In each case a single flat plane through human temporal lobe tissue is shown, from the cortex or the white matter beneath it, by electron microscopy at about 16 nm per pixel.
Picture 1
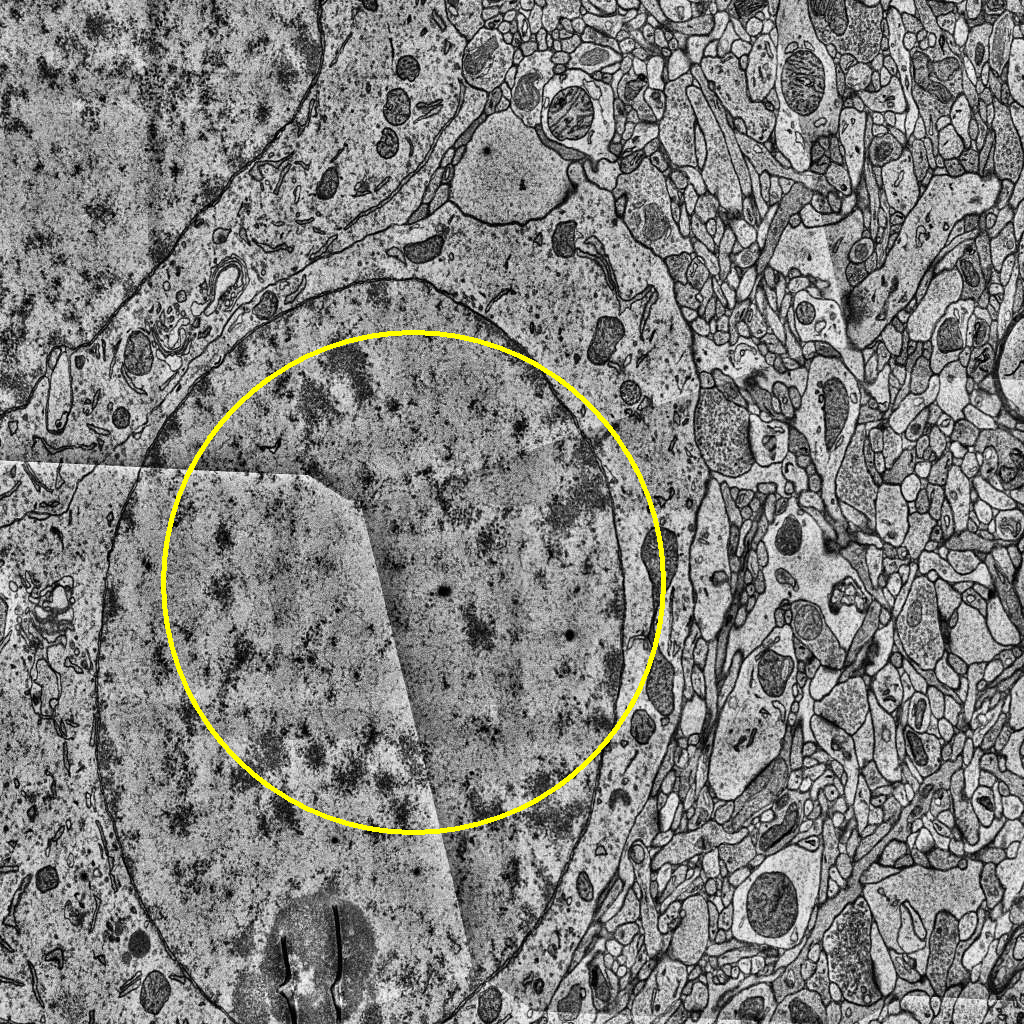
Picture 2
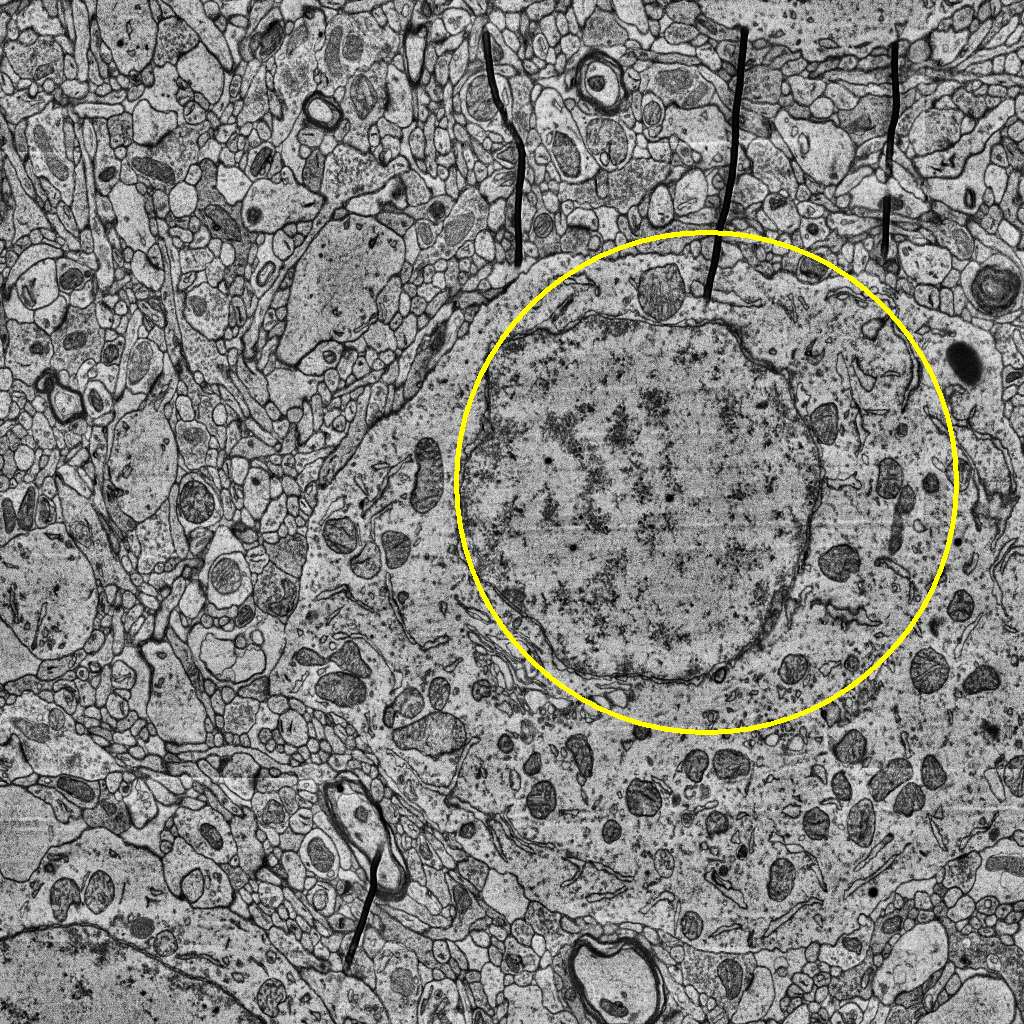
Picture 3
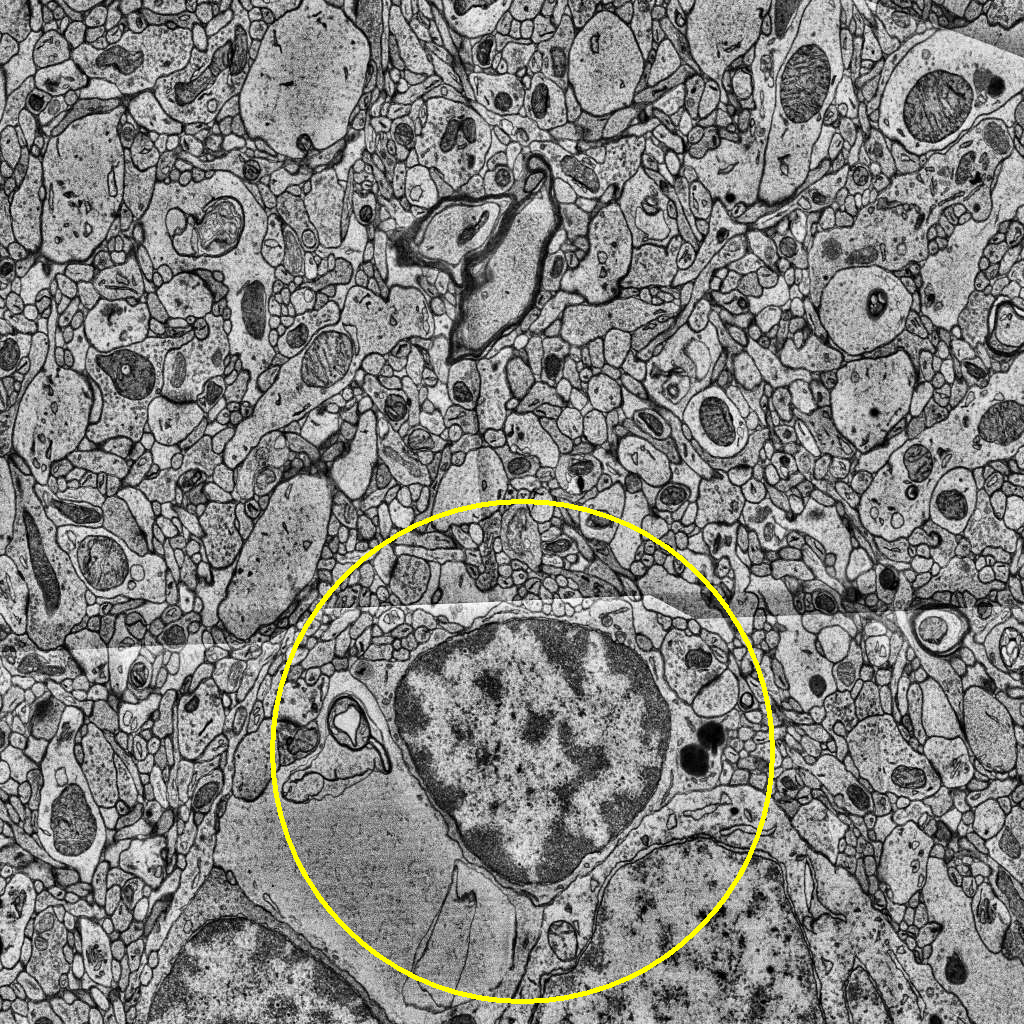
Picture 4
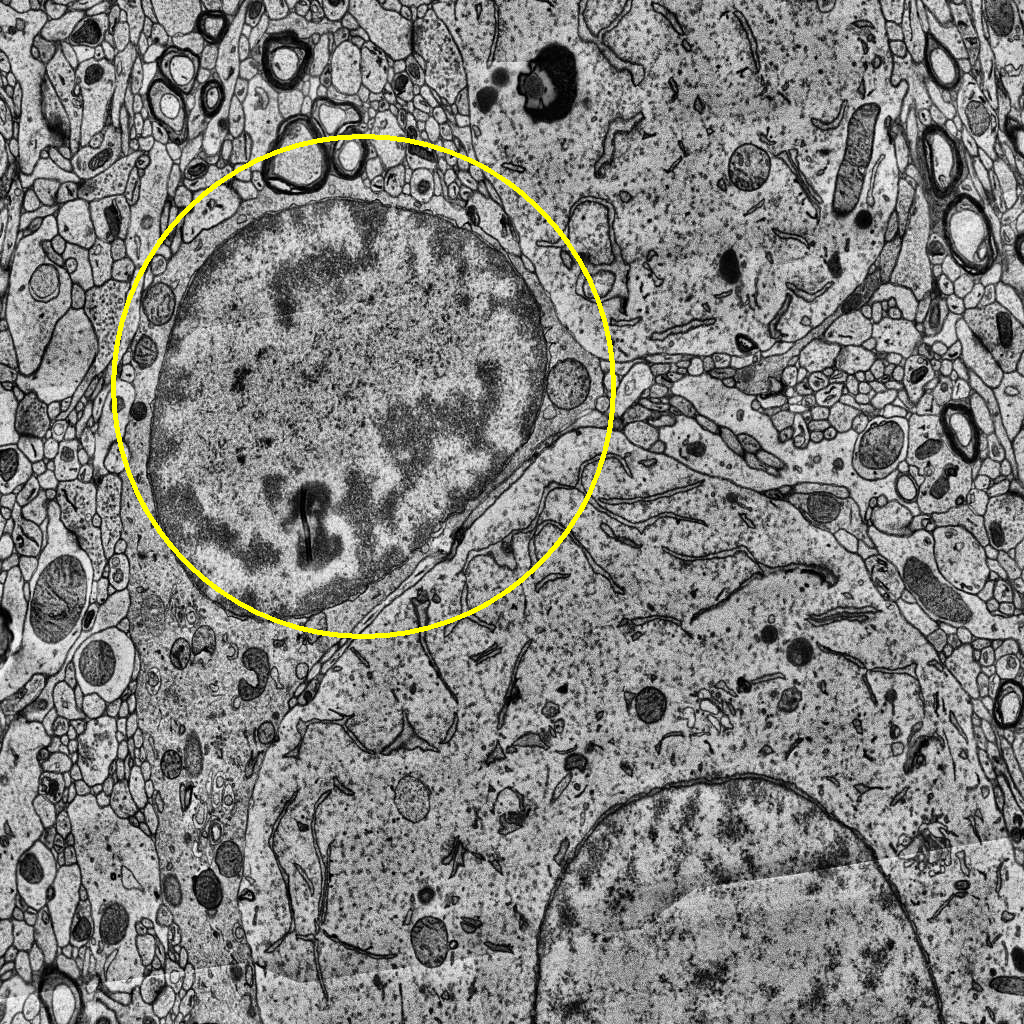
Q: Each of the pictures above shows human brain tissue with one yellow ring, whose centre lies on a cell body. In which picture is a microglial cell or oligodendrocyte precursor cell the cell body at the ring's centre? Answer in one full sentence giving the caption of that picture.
Picture 3 is the one whose ring's centre lies on the cell in question.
